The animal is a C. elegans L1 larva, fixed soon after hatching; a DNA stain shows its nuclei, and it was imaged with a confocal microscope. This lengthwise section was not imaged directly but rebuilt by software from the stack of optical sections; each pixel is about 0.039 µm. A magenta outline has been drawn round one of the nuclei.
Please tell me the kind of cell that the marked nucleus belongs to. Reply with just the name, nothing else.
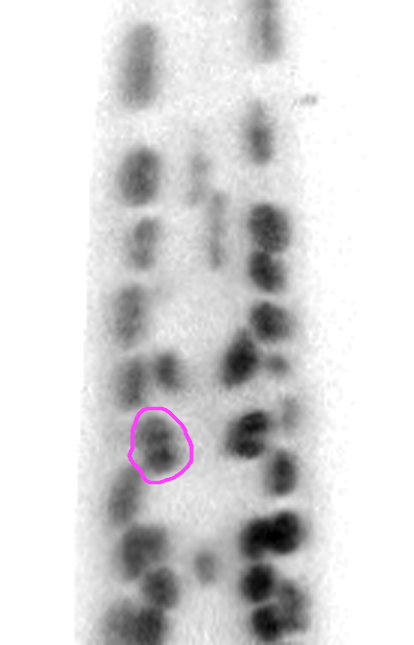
pharyngeal muscle cell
